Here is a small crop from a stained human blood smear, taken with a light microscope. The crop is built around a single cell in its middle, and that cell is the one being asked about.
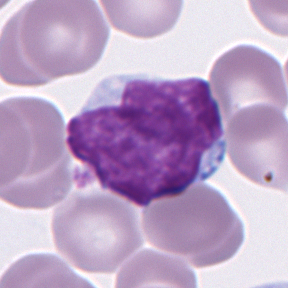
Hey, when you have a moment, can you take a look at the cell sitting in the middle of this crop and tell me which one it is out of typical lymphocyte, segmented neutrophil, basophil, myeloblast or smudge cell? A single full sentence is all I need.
The centrally positioned cell in the crop represents a typical lymphocyte.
